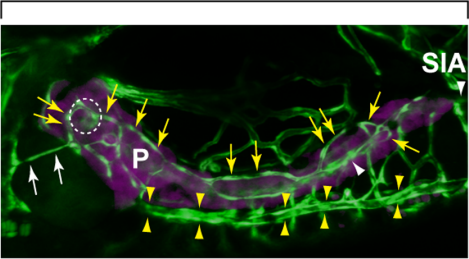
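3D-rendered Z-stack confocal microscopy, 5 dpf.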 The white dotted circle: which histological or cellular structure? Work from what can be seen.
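The dotted circle lies inside the magenta tissue near its left end. Inside the circle the magenta is weaker than in the surrounding tissue. Green vessels run along and around the circled area.
Hence: islet of Langerhans.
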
